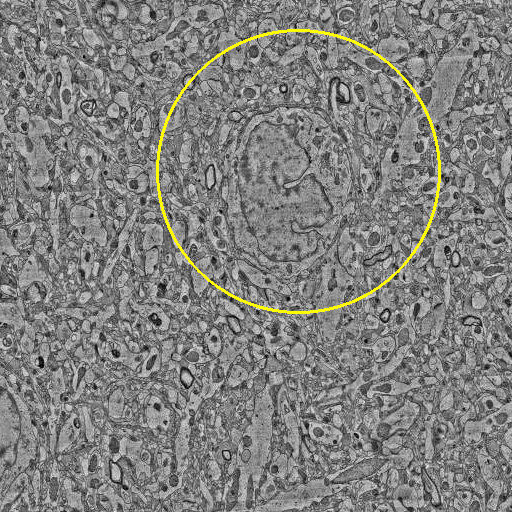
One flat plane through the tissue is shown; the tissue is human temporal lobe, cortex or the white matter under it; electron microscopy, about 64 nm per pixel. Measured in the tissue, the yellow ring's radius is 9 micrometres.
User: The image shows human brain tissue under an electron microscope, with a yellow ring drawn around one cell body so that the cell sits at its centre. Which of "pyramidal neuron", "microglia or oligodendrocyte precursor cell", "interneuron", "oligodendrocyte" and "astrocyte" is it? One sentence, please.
At the centre of the ring sits an interneuron.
